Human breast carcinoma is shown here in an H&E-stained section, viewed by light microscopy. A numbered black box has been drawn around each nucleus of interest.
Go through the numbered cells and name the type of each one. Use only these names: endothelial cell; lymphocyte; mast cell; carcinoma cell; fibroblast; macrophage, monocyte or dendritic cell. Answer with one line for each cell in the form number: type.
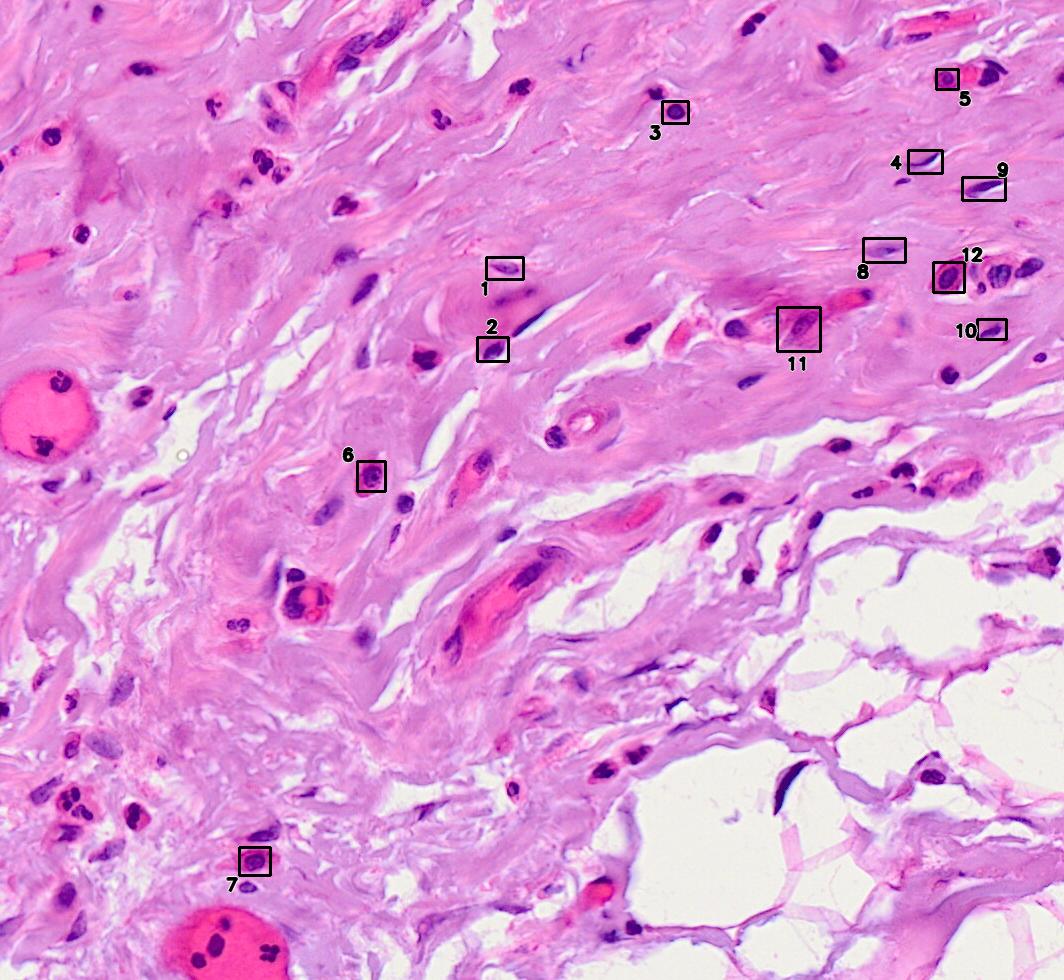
1: fibroblast
2: fibroblast
3: mast cell
4: fibroblast
5: mast cell
6: mast cell
7: mast cell
8: fibroblast
9: fibroblast
10: fibroblast
11: fibroblast
12: mast cell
